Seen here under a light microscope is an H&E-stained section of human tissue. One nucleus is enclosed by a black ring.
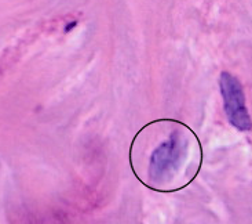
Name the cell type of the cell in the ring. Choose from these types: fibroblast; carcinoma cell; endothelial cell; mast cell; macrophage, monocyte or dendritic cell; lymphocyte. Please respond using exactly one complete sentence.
Considered by cell type, the cell in the ring is a fibroblast.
